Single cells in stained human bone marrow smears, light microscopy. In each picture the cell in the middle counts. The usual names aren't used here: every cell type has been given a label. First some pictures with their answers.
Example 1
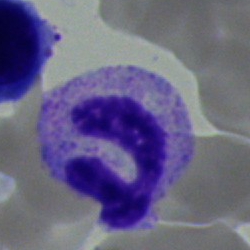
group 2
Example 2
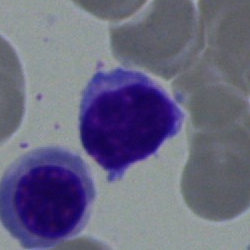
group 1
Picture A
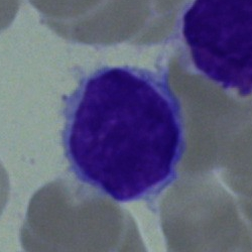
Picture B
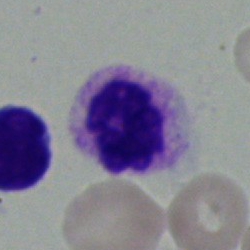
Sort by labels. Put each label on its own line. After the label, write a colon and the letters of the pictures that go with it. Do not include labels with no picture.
group 2: B
group 1: A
